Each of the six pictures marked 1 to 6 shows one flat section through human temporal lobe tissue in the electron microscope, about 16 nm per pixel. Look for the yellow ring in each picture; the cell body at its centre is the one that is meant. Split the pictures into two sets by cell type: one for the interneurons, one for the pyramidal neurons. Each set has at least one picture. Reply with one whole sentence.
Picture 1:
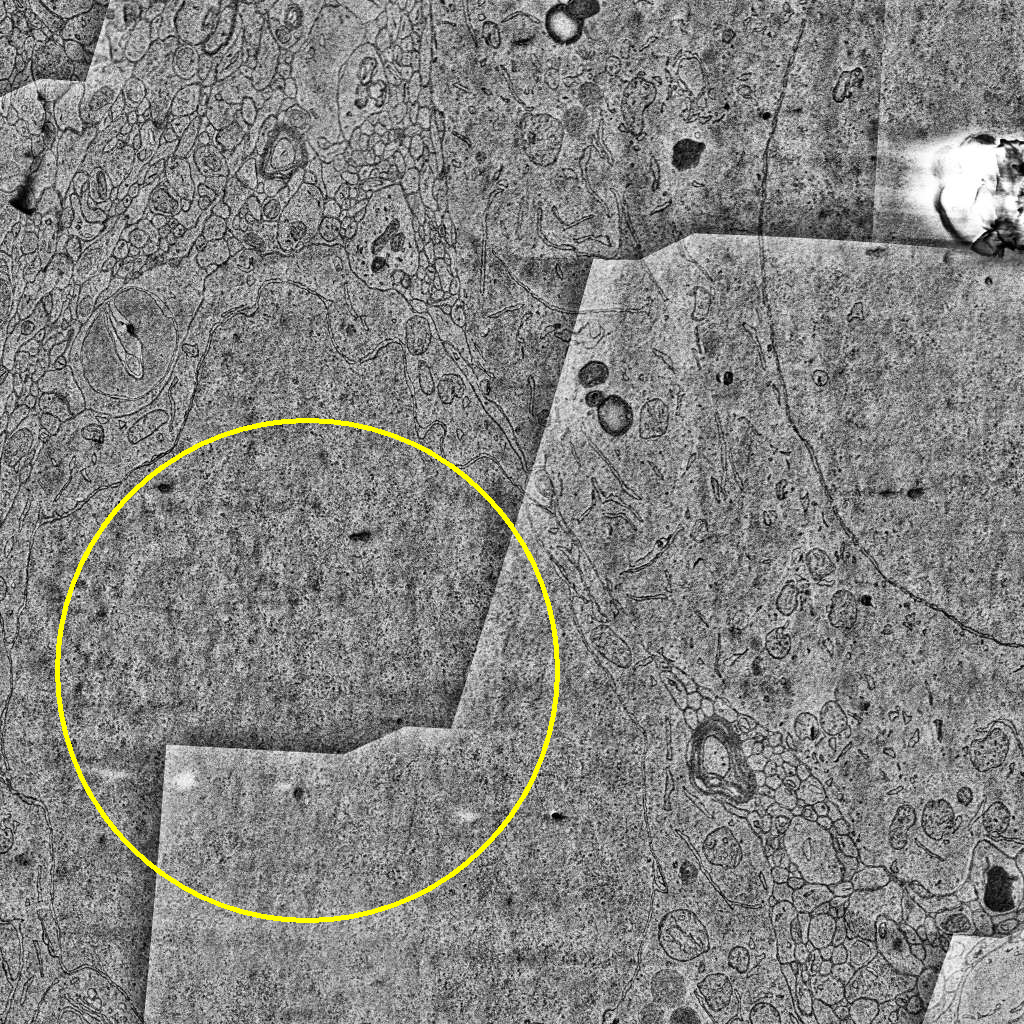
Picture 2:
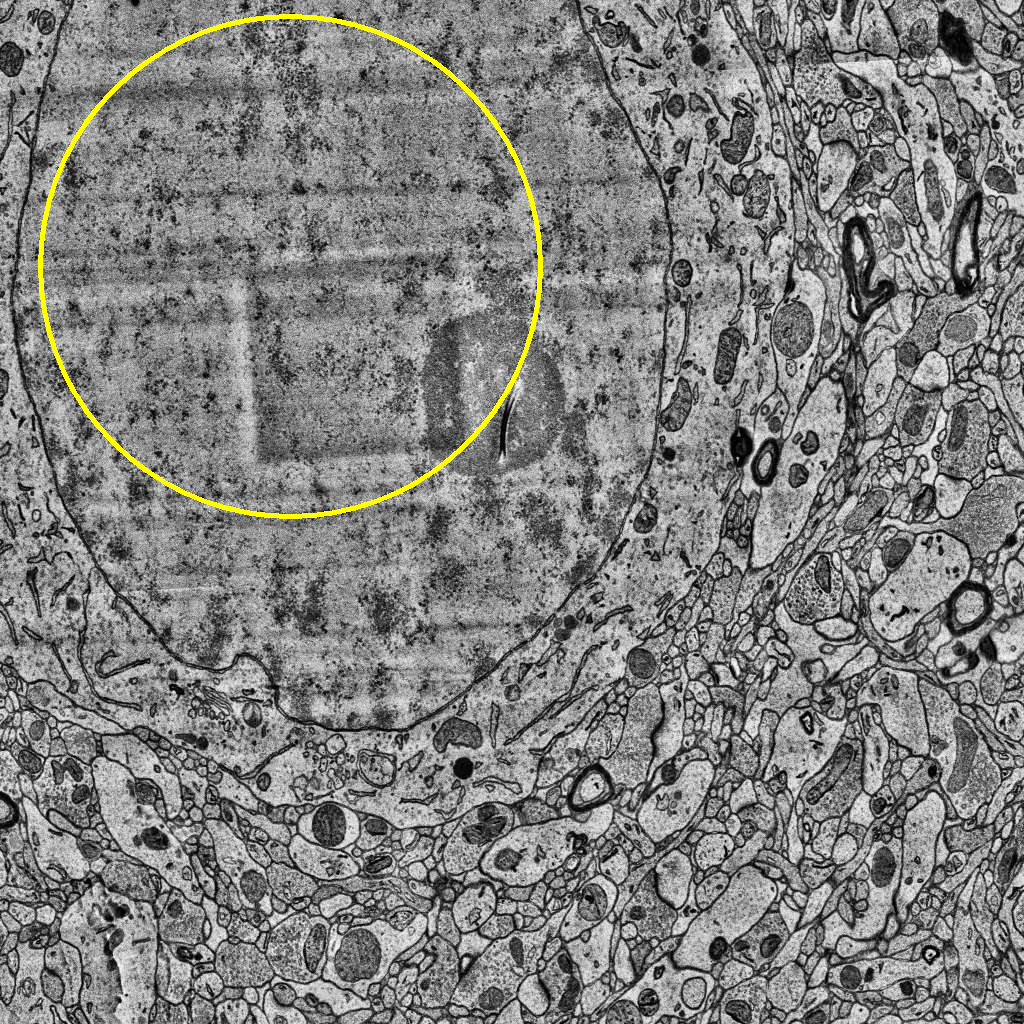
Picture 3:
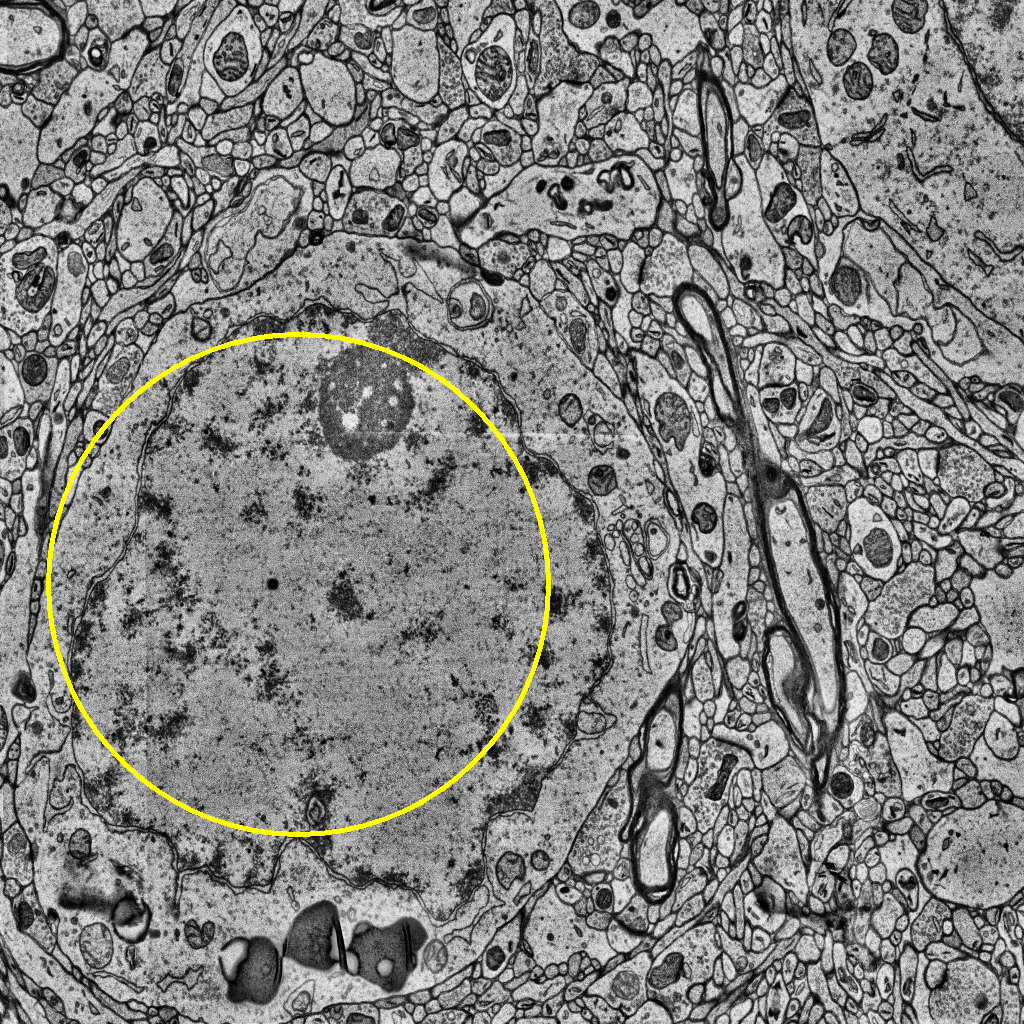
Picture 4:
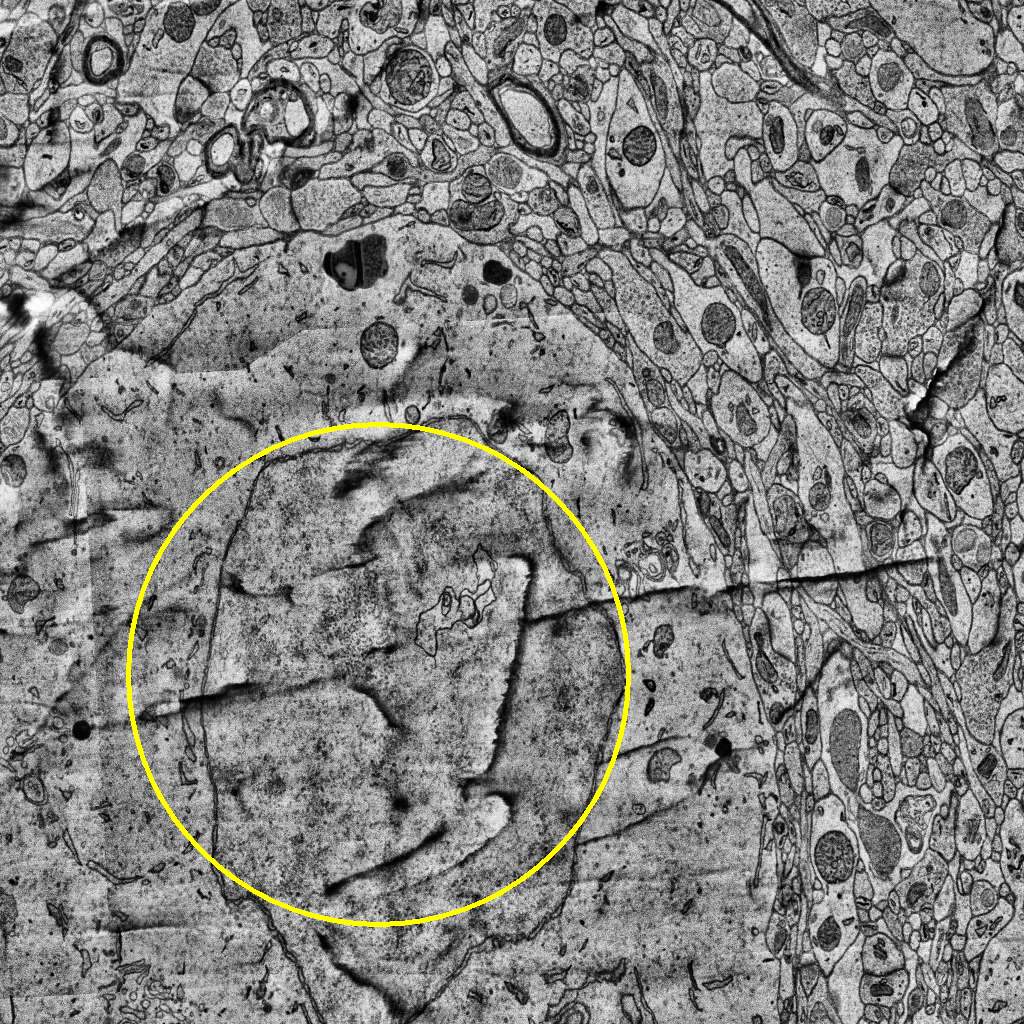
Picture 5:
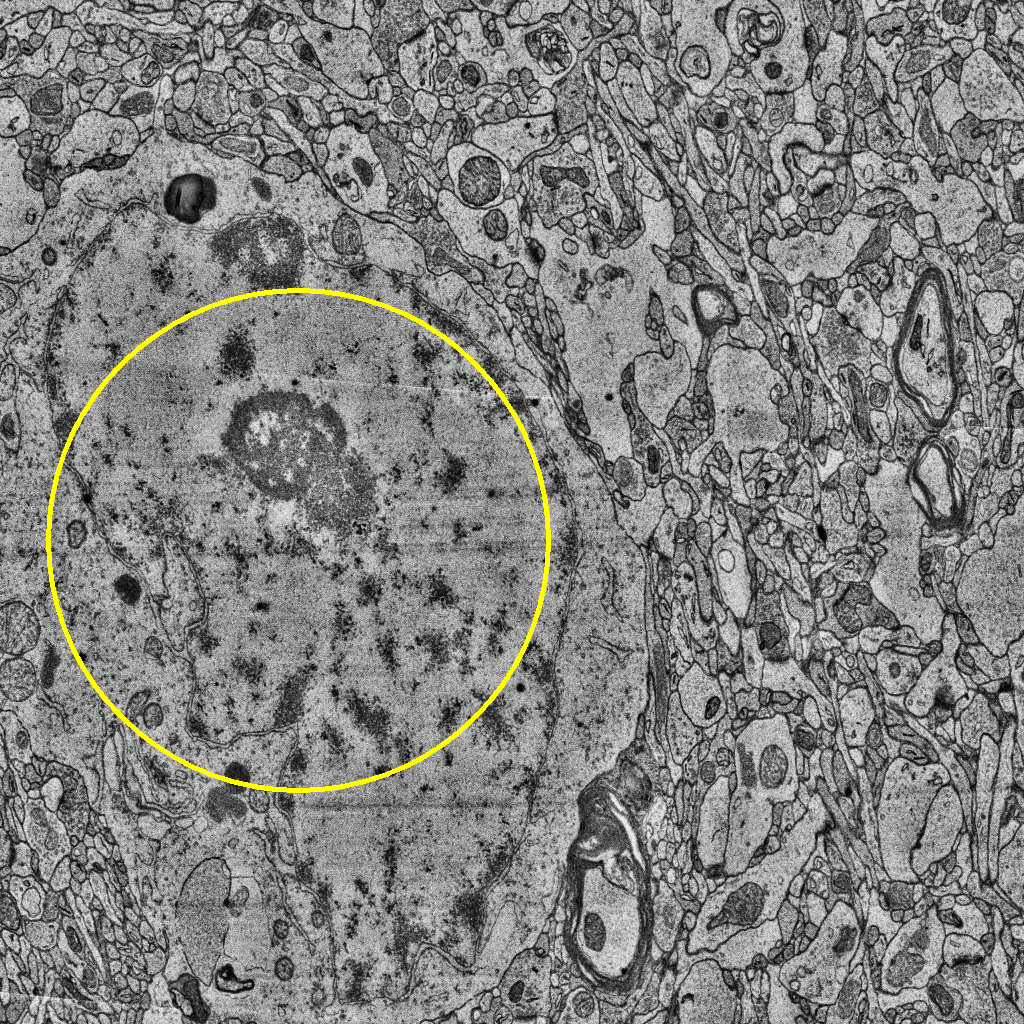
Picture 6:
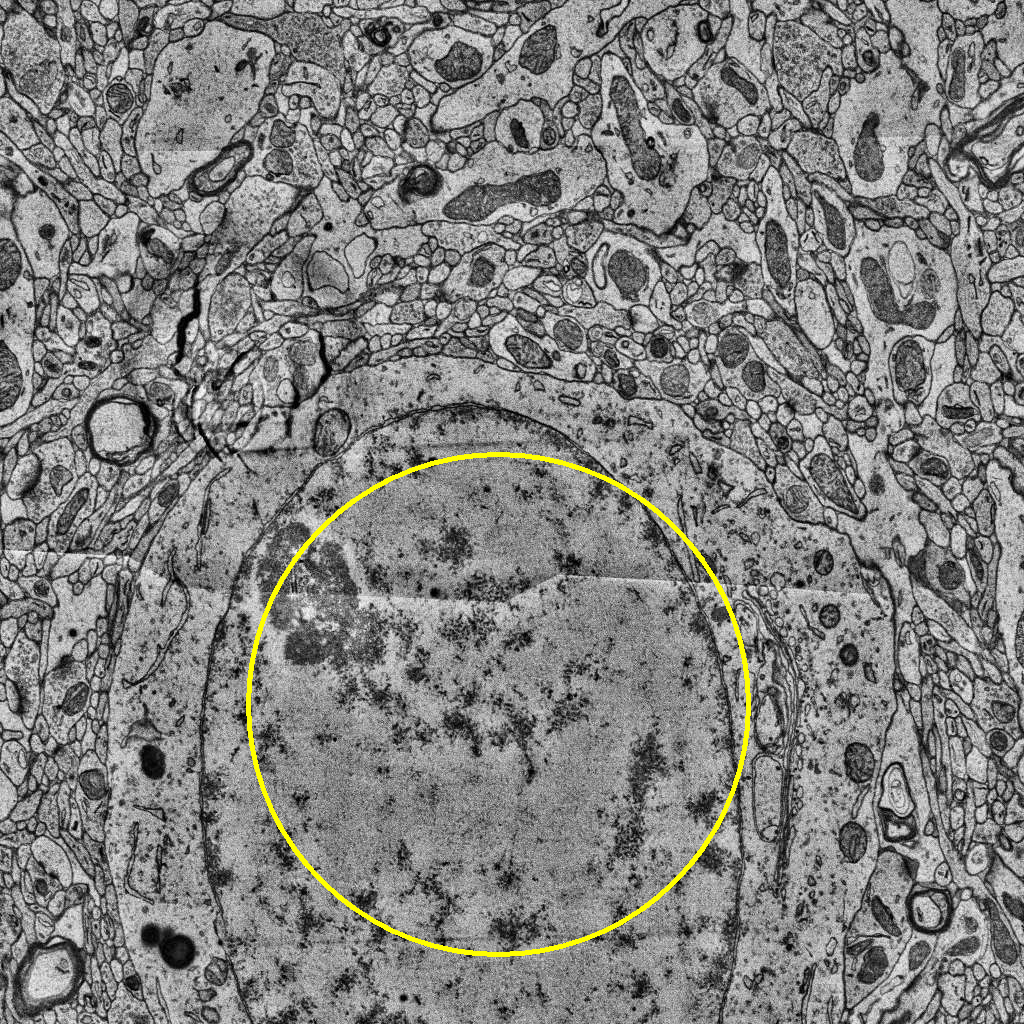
Pictures 1, 3 and 5 show interneurons, while pictures 2, 4 and 6 show pyramidal neurons.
